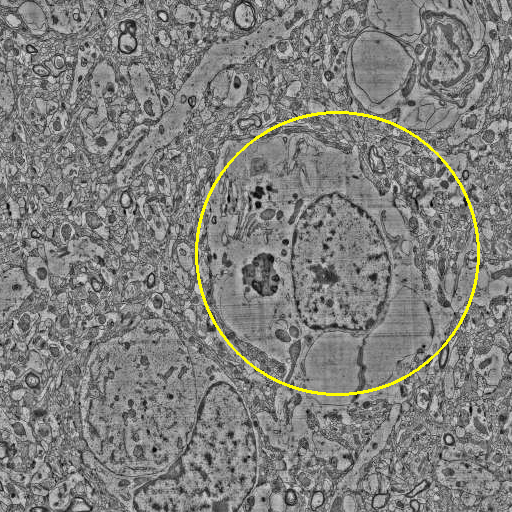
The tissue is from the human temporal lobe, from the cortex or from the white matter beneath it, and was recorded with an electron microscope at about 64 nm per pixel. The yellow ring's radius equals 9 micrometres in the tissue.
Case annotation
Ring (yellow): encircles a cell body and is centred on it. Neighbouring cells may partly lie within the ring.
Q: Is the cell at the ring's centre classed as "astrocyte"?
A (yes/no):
yes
